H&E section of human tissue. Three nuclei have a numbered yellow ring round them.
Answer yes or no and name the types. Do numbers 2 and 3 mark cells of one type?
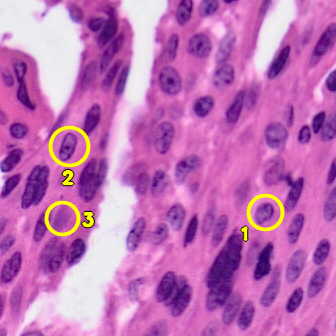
No, the cell numbered 2 is a macrophage or monocyte, and the cell numbered 3 is a carcinoma cell.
